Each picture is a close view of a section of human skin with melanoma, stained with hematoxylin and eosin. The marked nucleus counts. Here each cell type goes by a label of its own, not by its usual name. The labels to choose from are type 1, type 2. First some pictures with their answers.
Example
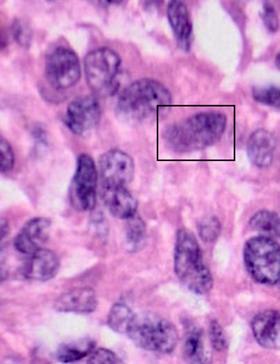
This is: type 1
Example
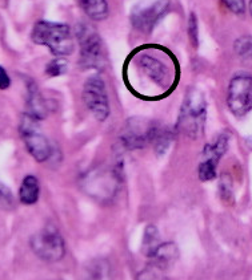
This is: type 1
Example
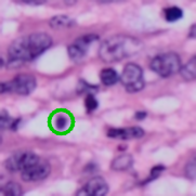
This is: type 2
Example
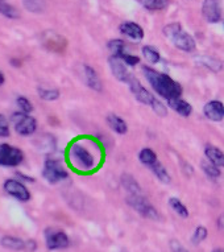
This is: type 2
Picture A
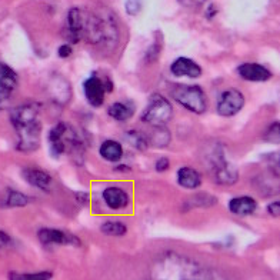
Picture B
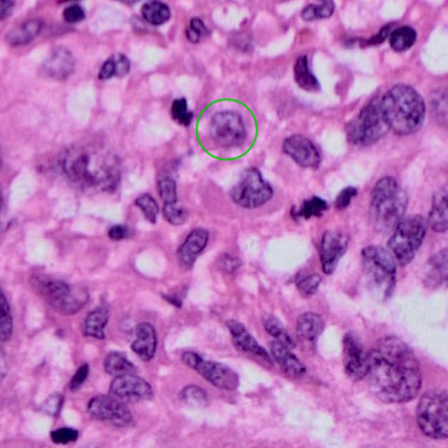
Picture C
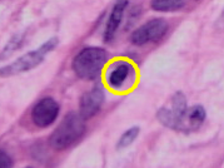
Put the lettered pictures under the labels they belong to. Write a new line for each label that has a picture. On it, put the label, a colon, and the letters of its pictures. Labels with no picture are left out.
type 1: B
type 2: A, C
